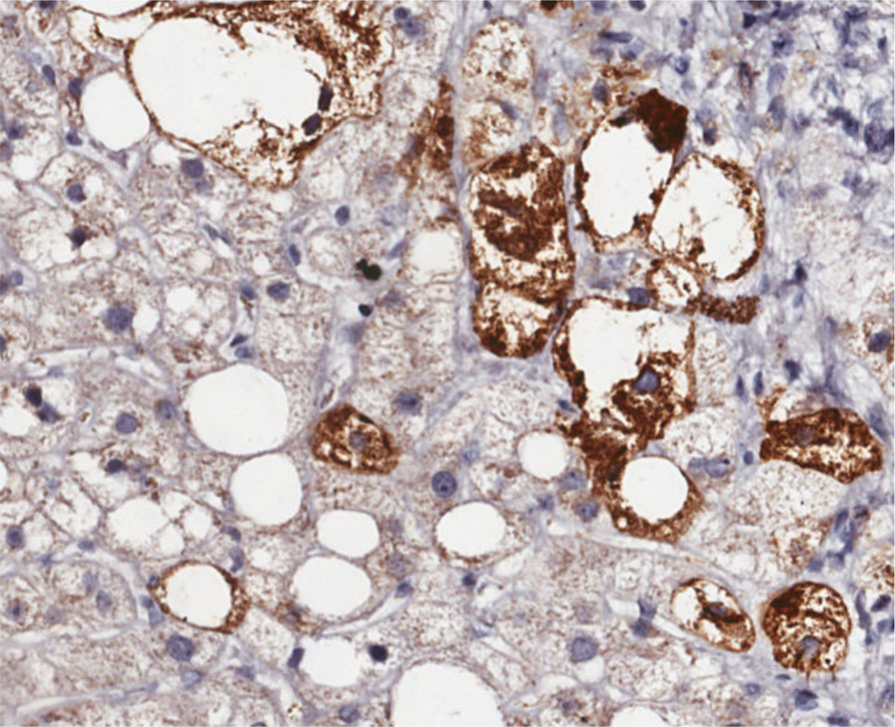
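This is liver tissue made up of polygonal hepatocytes with round, blue nuclei and pale, finely granular cytoplasm, arranged in plates between thin blue septa. Many hepatocytes contain large, round, clear vacuoles, some of which push the nucleus to the side. A scattered group of enlarged, swollen hepatocytes stands out by strong brown staining of their cytoplasm, which looks clumped and rarefied around irregular clear spaces. These are the ballooned hepatocytes, while the surrounding hepatocytes are only faintly tinted.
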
